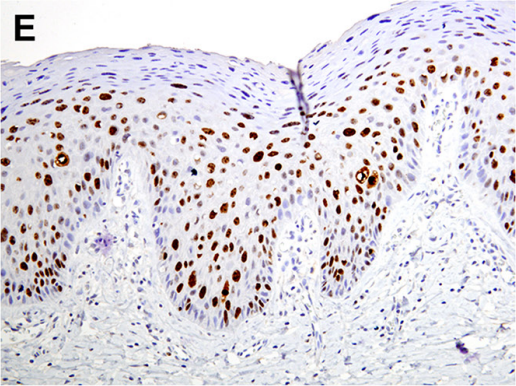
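This is squamous epithelium in which many nuclei are stained brown, while the rest of the tissue is counterstained pale blue. The brown nuclei are densely packed in the lower and middle parts of the epithelium and include large, irregular ones, whereas the surface layers hold mainly flattened blue nuclei. The stroma below has only scattered blue nuclei.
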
